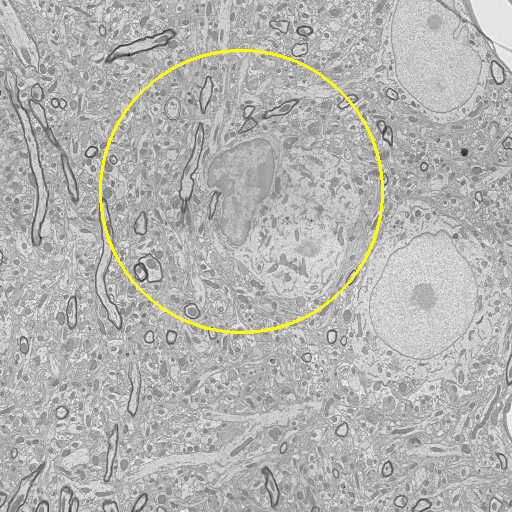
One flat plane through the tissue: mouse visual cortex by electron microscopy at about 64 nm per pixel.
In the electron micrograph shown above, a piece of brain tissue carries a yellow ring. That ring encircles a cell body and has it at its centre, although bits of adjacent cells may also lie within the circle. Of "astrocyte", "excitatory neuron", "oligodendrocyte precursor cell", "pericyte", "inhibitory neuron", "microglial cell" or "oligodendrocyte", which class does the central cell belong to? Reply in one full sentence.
The cell body at the centre of the yellow ring belongs to a microglial cell.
